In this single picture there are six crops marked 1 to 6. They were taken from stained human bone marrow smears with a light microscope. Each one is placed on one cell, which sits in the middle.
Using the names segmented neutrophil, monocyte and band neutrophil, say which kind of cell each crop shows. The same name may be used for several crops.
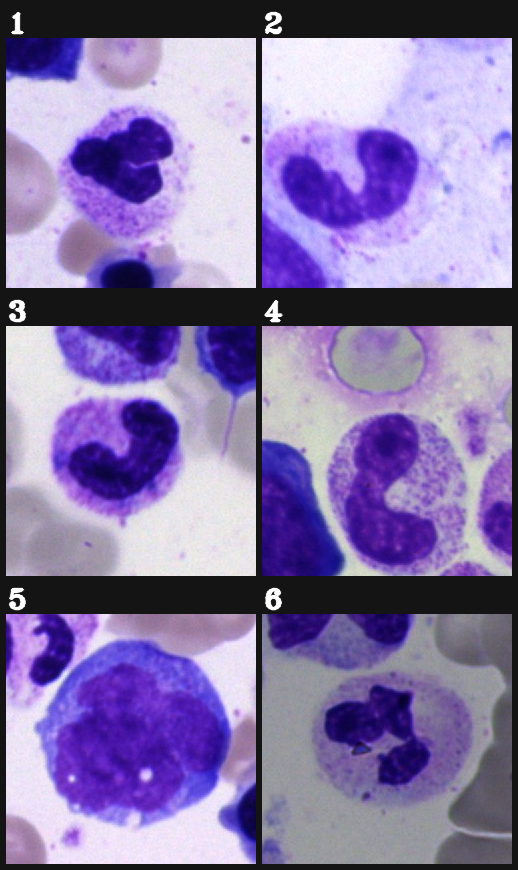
1: segmented neutrophil
2: segmented neutrophil
3: band neutrophil
4: band neutrophil
5: monocyte
6: segmented neutrophil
